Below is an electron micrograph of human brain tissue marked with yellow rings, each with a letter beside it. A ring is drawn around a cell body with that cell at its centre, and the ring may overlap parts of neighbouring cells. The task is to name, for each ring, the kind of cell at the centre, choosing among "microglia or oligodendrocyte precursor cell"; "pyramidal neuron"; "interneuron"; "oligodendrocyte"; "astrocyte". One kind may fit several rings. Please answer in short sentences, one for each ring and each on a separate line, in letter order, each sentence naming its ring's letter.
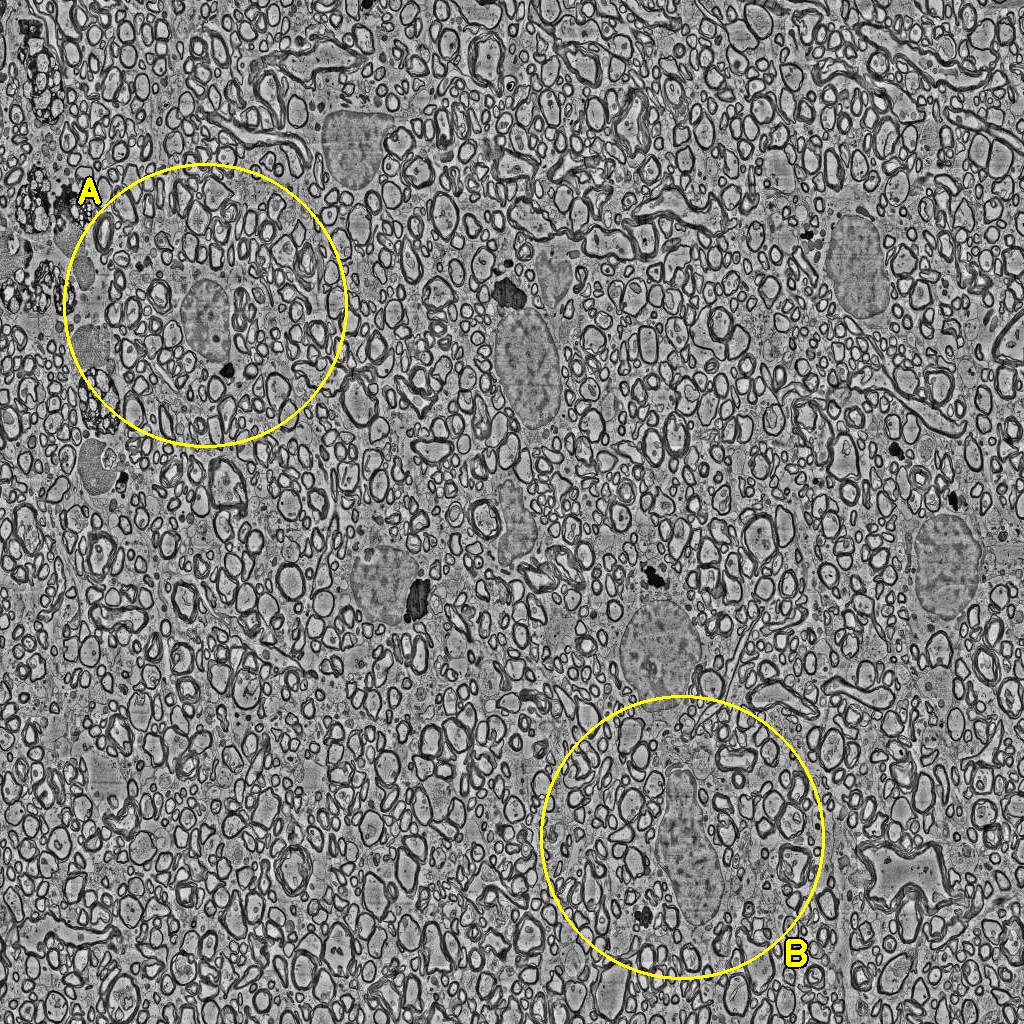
The ring with letter A is centred on an oligodendrocyte.
The ring with letter B is centred on a microglial cell or oligodendrocyte precursor cell.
